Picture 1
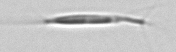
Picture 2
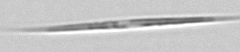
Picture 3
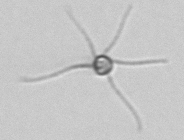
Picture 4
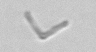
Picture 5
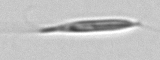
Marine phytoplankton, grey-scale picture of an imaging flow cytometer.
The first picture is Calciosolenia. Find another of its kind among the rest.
Picture 5.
